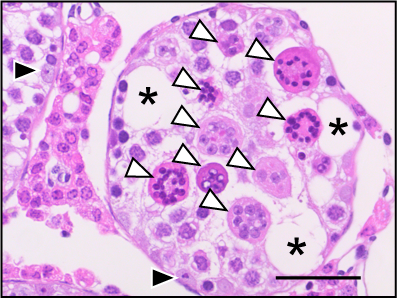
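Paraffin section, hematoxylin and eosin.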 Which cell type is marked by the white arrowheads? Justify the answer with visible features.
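Multinucleated cells. Large rounded cells each holding a cluster of several dark nuclei.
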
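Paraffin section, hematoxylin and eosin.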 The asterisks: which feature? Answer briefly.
Vacuoles.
